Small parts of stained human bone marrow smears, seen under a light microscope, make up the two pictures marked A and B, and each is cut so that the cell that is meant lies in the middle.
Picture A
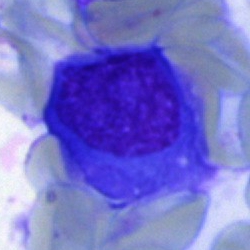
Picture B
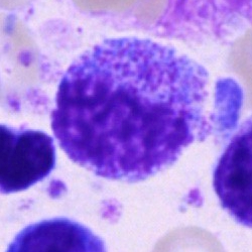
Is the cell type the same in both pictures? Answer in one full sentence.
No. Picture A shows a plasma cell, but picture B shows a promyelocyte.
